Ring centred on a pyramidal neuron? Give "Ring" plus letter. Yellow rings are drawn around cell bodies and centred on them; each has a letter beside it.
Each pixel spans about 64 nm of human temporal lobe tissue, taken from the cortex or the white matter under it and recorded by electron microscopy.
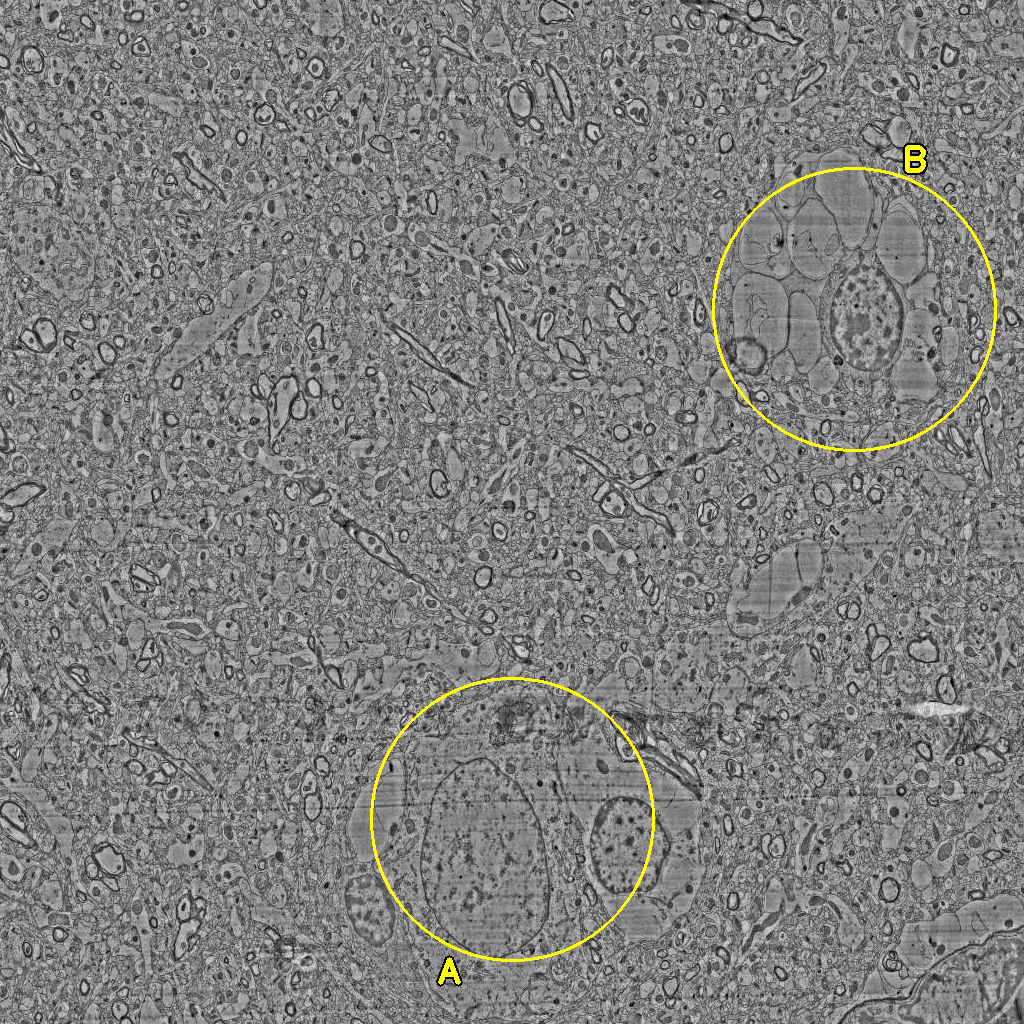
Ring A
